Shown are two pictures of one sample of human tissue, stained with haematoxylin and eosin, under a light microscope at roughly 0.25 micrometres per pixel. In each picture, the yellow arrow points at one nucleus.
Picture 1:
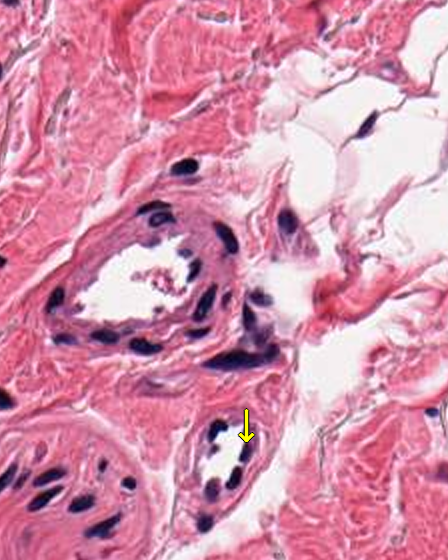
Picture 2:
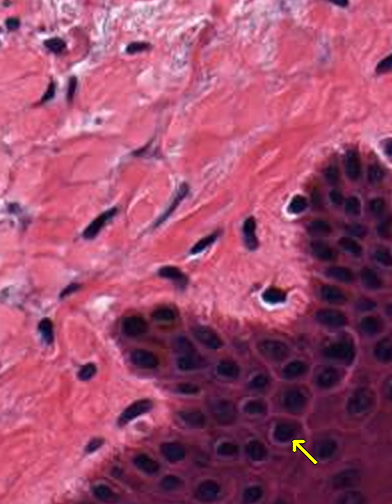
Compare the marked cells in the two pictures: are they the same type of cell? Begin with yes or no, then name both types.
No, the first is an endothelial cell and the second a keratinocyte.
